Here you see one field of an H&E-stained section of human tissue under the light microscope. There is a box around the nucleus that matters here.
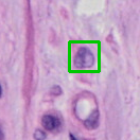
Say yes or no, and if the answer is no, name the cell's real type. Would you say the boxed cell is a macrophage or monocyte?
Yes.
